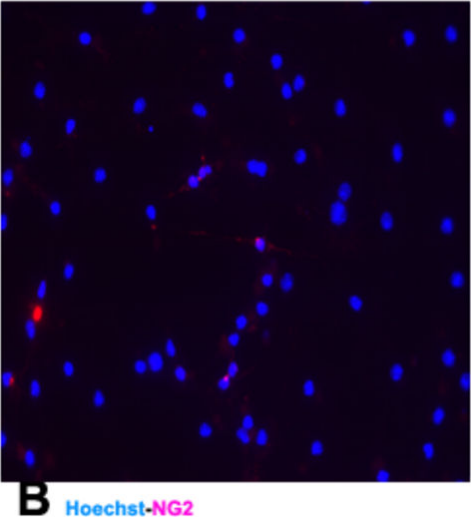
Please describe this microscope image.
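Dispersed cultured cells, seen mostly as oval blue nuclei of fairly even size spread singly across the field. A few cells are labelled red, with faint thin red processes extending between neighbouring nuclei, while most nuclei have no red label around them.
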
